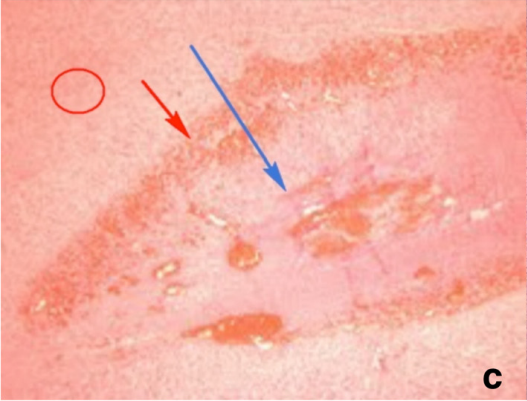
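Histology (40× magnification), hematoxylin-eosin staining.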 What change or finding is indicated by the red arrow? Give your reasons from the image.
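The red arrow points to a broad band stained bright orange-red, the colour of red blood cells in eosin. The orange-red band runs along the edge of a paler central zone. So: hemorrhagic area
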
